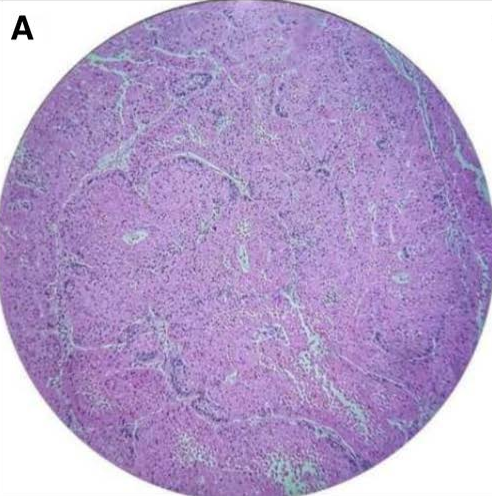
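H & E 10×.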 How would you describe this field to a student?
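At low magnification, large epithelial tumour islands occupy most of the field, separated by narrow, pale strands of connective tissue. Along the margins of the islands a darker rim of crowded nuclei can be made out. Small vessels and clefts run through the intervening stroma.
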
